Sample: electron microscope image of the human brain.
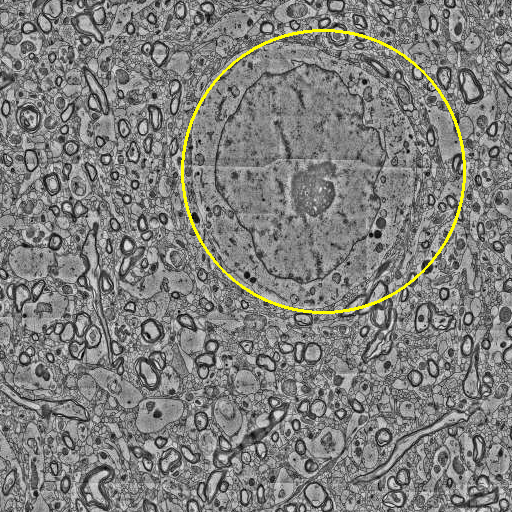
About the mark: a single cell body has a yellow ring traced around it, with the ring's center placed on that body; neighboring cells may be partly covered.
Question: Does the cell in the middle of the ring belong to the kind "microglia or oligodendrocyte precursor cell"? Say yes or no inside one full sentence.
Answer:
No, the cell at the ring's center in this image belongs to a different kind.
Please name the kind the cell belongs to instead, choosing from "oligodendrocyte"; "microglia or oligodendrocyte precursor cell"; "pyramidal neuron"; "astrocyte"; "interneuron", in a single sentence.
Instead, the ring surrounds a pyramidal neuron in this picture.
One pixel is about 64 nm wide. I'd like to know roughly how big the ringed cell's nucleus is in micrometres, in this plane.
Approximately 14 x 11 micrometres in this plane.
